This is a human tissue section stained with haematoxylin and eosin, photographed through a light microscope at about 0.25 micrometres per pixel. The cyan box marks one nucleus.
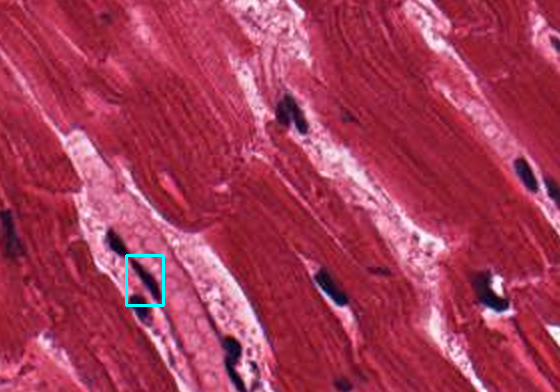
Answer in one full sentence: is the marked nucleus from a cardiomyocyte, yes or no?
No, it is not a cardiomyocyte but a supporting cell to which the marked nucleus is assigned.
